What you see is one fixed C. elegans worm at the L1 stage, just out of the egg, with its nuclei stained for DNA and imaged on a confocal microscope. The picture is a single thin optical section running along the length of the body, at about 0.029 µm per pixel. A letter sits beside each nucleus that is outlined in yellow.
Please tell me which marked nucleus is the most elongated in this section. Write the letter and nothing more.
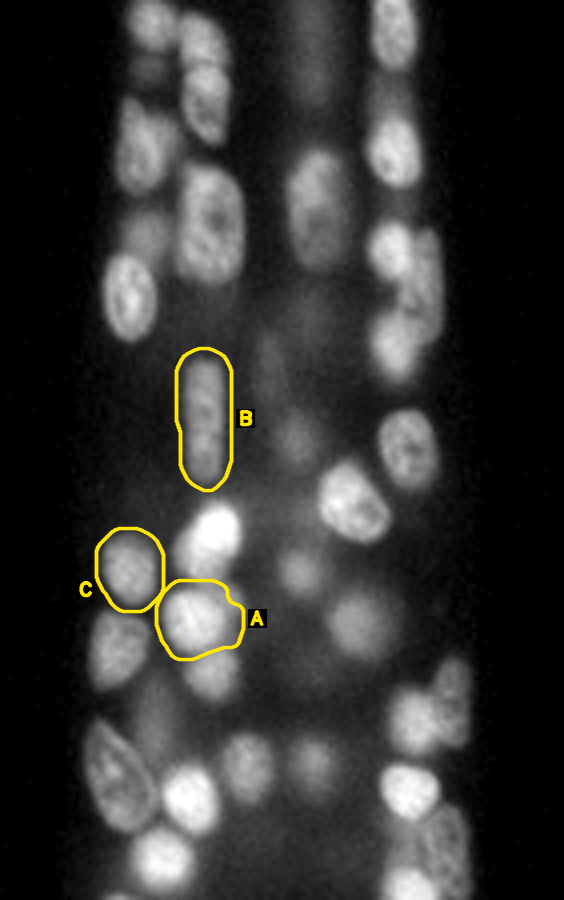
B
